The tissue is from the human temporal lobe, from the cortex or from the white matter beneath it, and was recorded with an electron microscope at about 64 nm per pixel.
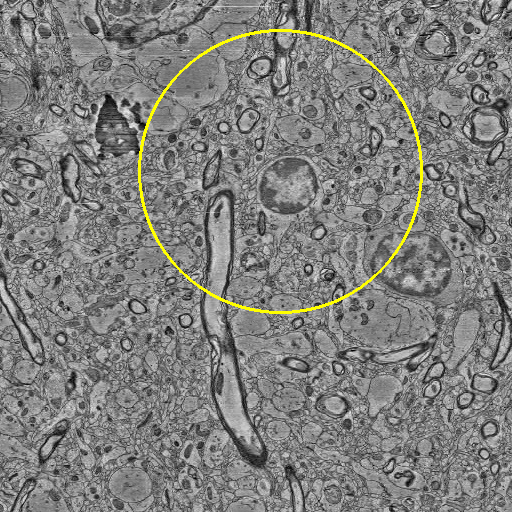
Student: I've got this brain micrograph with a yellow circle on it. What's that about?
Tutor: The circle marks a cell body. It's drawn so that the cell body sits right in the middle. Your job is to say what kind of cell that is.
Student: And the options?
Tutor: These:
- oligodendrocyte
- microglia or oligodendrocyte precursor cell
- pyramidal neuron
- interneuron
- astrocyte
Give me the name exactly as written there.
microglia or oligodendrocyte precursor cell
